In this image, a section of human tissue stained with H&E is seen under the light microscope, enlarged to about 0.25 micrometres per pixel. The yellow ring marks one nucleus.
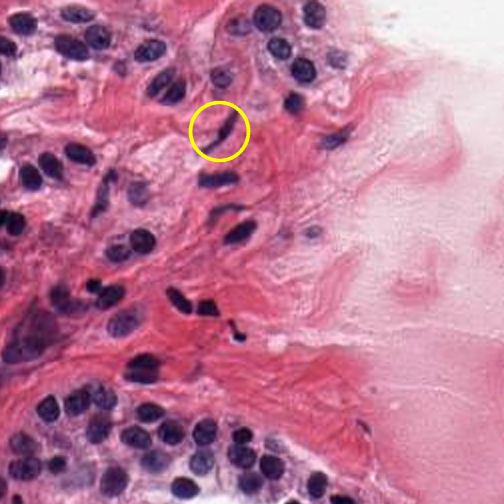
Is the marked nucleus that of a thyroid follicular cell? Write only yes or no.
no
